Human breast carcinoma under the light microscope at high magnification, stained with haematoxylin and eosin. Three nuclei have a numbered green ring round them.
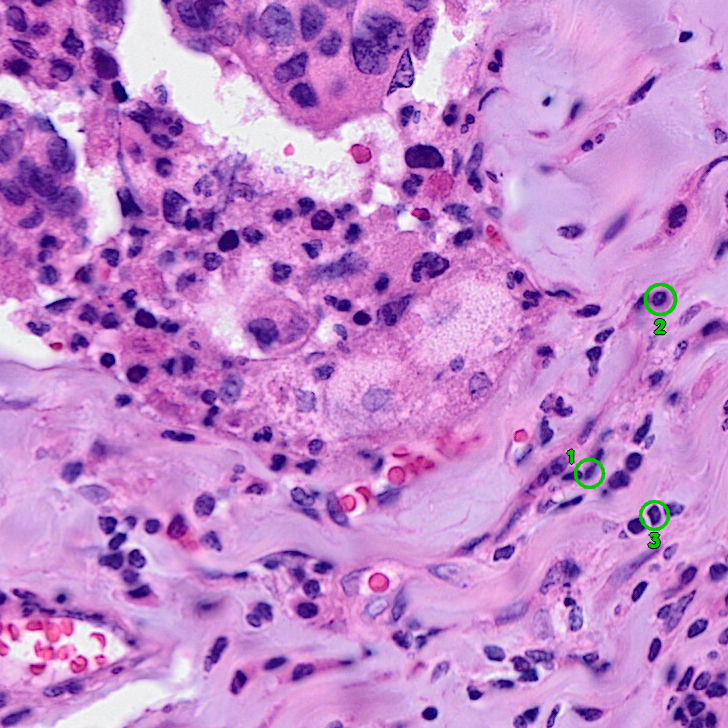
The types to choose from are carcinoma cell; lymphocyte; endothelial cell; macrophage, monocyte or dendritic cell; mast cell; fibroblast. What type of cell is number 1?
lymphocyte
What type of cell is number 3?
lymphocyte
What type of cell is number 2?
mast cell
